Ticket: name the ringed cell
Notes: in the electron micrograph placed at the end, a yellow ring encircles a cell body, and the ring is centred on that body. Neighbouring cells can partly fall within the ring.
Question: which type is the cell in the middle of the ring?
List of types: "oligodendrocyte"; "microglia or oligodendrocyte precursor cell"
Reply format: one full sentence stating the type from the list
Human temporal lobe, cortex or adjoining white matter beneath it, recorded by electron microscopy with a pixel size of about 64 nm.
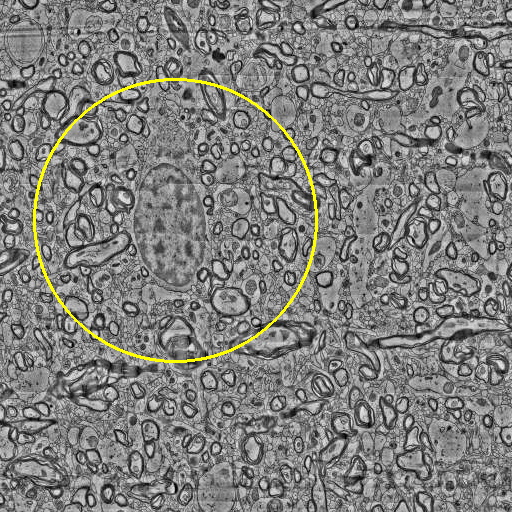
The cell sitting at the centre of the yellow ring is an oligodendrocyte.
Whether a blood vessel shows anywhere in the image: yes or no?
No, no blood vessel shows in the picture.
